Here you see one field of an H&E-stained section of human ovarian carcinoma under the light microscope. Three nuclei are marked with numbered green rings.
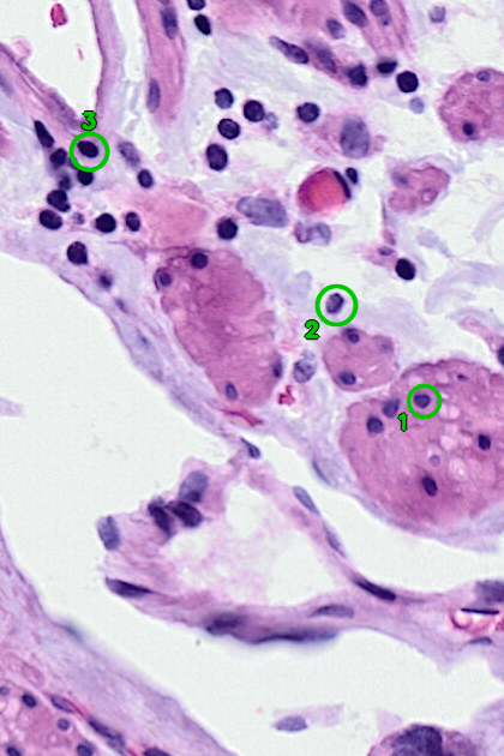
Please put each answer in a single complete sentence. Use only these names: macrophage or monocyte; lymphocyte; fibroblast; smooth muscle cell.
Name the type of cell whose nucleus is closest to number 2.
Number 2 lies closest to the nucleus of a smooth muscle cell.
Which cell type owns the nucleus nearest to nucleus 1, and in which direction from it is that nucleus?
The closest nucleus belongs to a smooth muscle cell and sits to the left of nucleus 1.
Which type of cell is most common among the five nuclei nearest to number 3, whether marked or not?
Lymphocytes account for more than half of the five nuclei nearest to number 3.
